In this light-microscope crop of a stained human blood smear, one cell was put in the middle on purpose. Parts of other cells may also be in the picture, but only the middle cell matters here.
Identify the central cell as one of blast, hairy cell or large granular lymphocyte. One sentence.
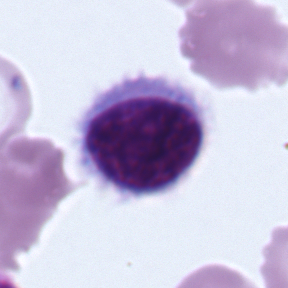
At the middle of the frame sits a hairy cell.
